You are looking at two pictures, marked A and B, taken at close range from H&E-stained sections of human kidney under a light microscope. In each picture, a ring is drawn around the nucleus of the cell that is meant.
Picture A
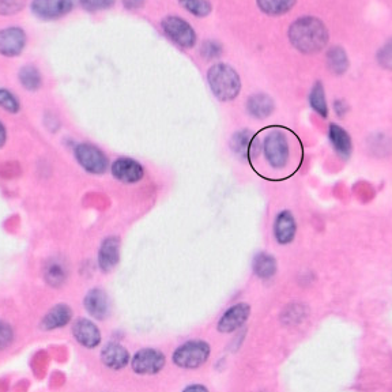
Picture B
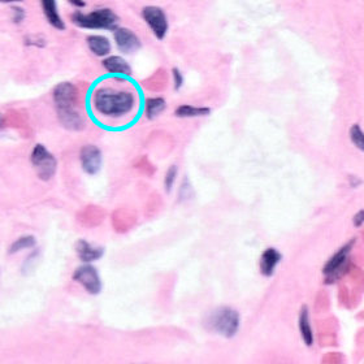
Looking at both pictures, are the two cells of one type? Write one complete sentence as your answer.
No, the types are not the same, since picture A shows a collecting duct cell and picture B an endothelial cell.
